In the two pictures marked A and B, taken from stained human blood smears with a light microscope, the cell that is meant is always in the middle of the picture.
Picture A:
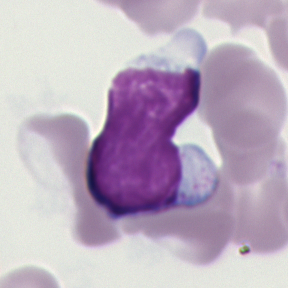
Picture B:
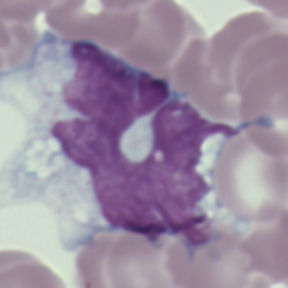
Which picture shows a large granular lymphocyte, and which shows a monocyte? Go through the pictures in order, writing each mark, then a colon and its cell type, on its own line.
A: large granular lymphocyte
B: monocyte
